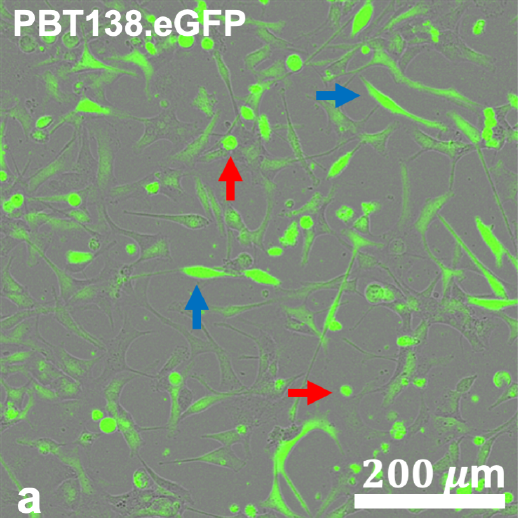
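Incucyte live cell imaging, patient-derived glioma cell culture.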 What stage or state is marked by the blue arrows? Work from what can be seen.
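Elongated. The blue arrows point to green cells drawn out into a long spindle shape. These cells taper at both ends.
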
